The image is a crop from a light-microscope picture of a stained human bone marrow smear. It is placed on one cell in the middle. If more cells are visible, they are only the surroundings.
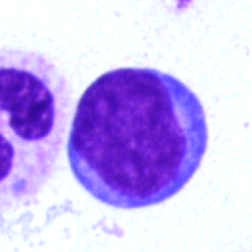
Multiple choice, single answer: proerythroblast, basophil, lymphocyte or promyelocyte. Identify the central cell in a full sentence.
At the middle of the frame sits a lymphocyte.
